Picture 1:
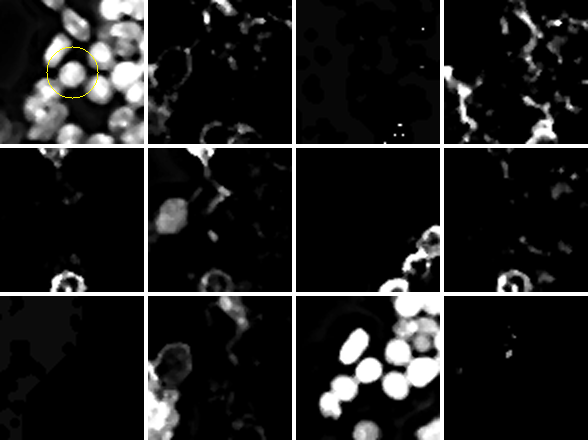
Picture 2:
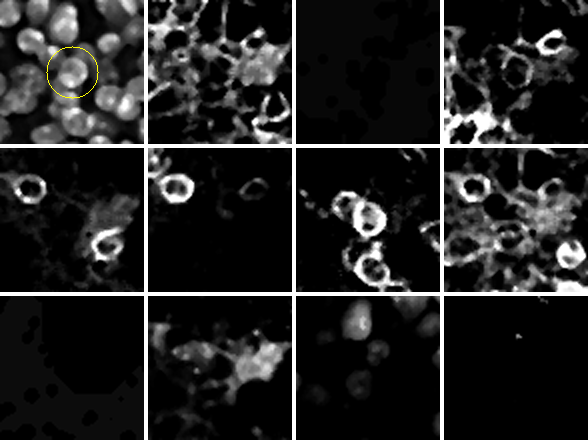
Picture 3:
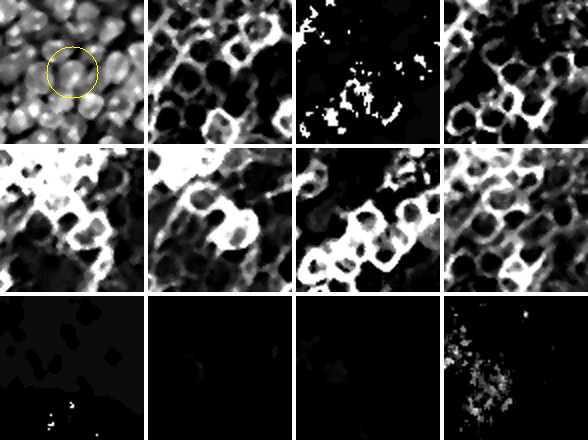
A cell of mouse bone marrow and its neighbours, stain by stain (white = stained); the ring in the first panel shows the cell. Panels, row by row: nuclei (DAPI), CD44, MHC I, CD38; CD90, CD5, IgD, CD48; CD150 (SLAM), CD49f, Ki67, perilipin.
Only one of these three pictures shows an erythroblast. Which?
Picture 1.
